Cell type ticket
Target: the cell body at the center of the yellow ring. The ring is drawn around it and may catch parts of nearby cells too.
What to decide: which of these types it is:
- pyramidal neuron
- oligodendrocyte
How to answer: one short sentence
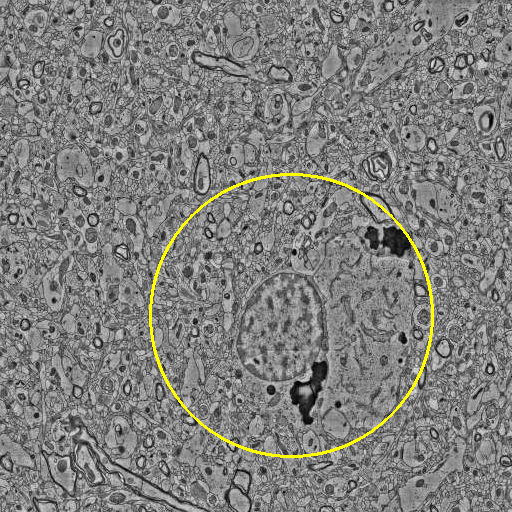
The cell at the center of the ring is an oligodendrocyte.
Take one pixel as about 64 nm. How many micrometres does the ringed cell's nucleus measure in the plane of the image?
Approximately 7 micrometres across in this plane.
